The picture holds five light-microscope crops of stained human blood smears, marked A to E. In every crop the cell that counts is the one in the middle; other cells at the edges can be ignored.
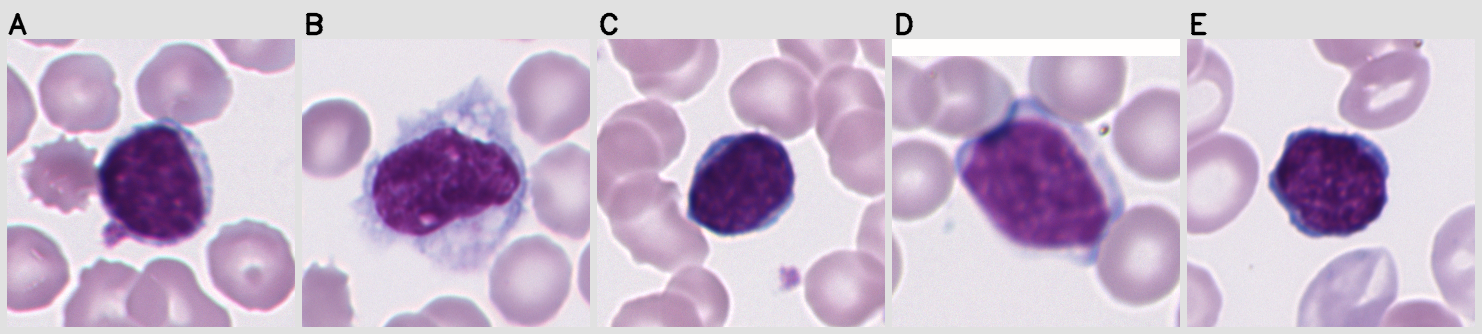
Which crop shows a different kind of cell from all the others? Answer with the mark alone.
B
